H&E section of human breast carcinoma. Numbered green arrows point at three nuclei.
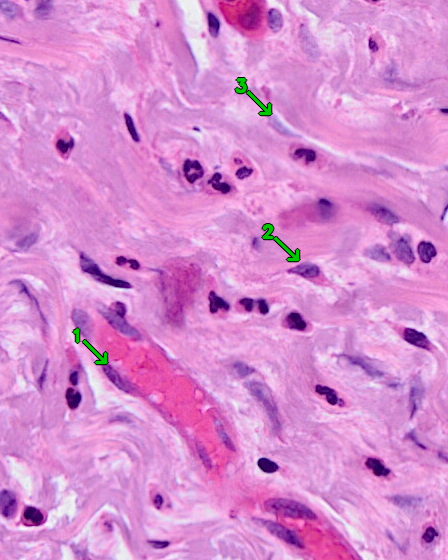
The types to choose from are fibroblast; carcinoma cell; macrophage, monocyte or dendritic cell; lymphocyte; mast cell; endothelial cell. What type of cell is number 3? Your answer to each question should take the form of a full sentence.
The nucleus marked 3 is the nucleus of a fibroblast.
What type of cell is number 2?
Number 2 among the marked cells is a fibroblast.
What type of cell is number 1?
It is as an endothelial cell that the cell numbered 1 is identified.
